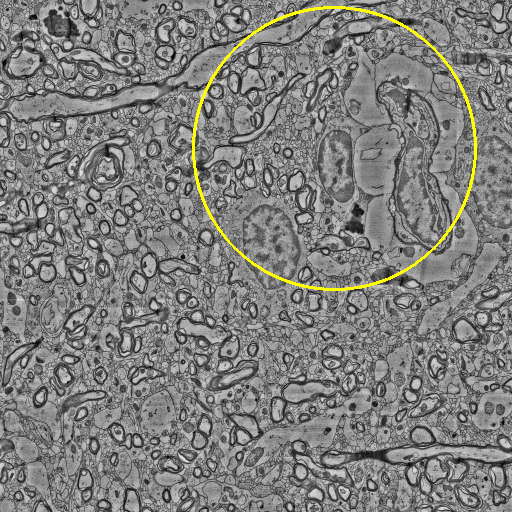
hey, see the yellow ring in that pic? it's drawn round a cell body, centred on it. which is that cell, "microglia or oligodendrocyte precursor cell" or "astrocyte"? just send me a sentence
The cell in the ring is a microglial cell or oligodendrocyte precursor cell.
